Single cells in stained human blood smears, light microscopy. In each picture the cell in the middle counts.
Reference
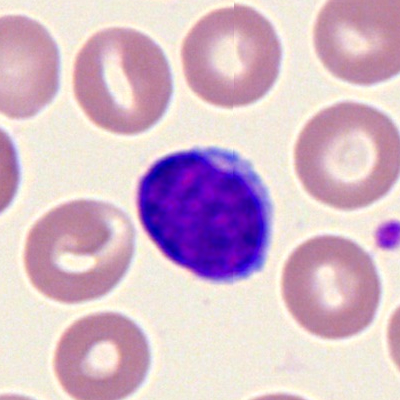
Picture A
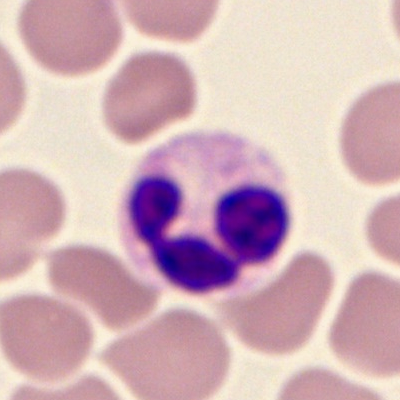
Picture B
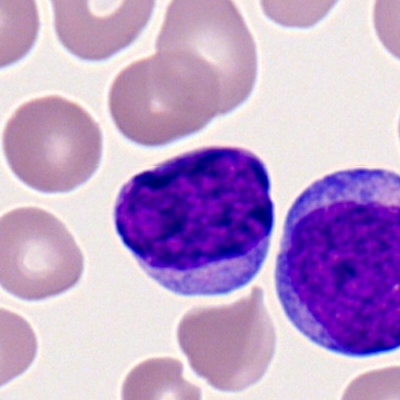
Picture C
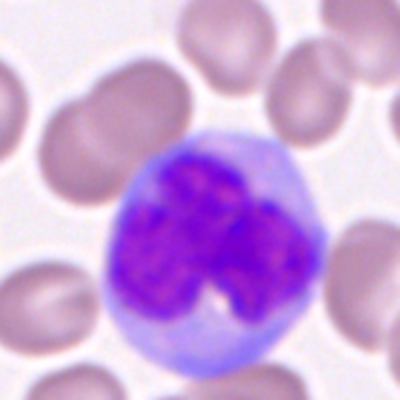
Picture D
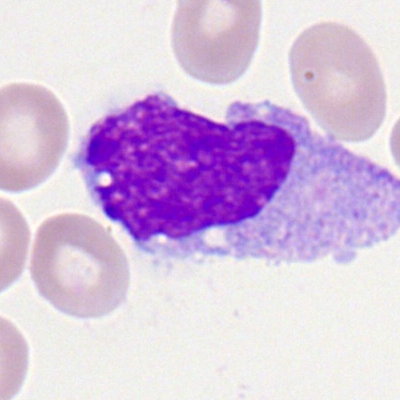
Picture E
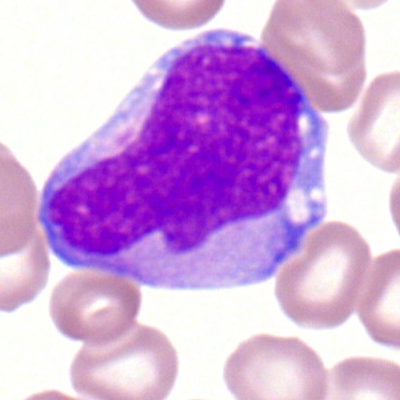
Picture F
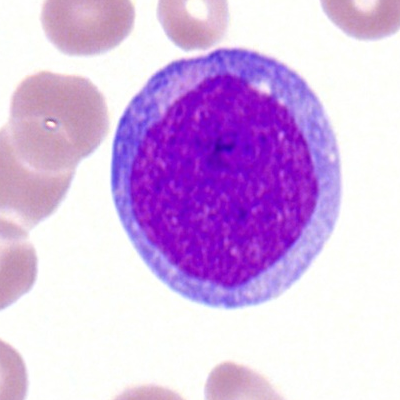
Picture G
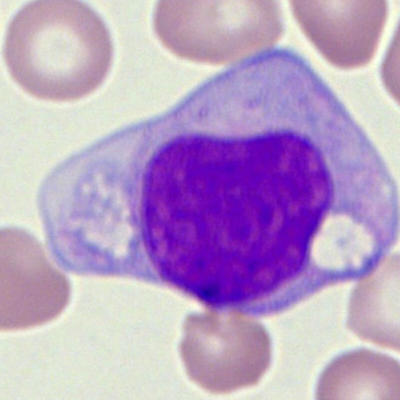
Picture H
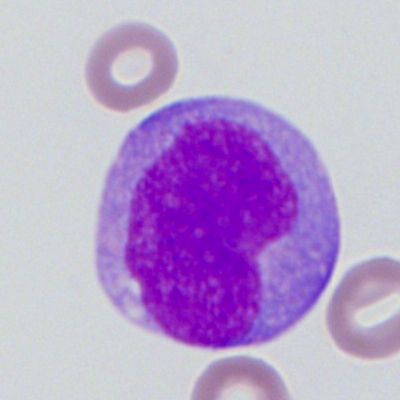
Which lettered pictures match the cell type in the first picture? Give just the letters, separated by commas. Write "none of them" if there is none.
none of them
